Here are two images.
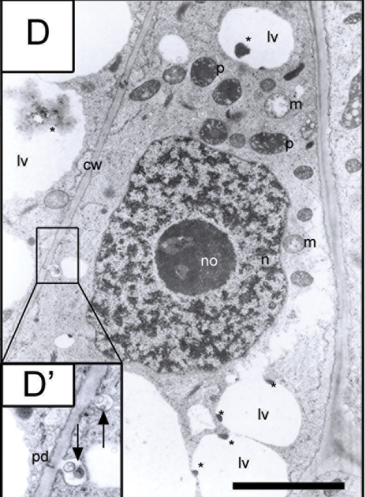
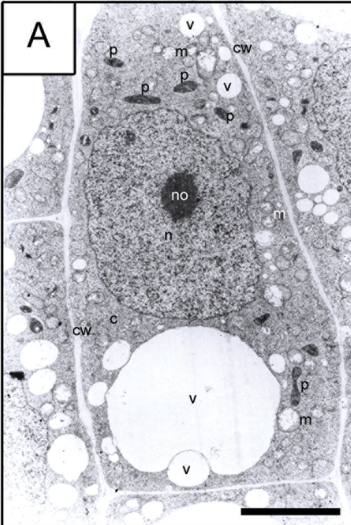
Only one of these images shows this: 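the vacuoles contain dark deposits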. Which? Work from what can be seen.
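First image: several pale vacuoles hold small dark granular clumps. Second image: the vacuoles are evenly pale and empty. That points to this answer: the first image.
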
